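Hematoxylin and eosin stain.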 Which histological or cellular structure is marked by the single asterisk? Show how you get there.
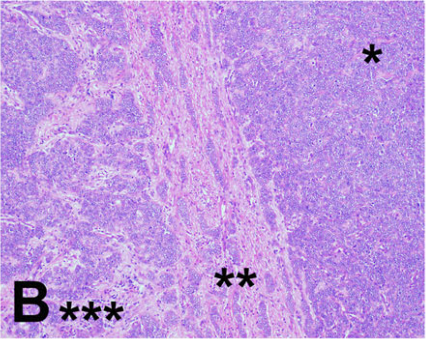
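Diffuse sheets. The area at the single asterisk is a continuous solid expanse of densely packed cells. No glands or nests separate the cells there.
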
